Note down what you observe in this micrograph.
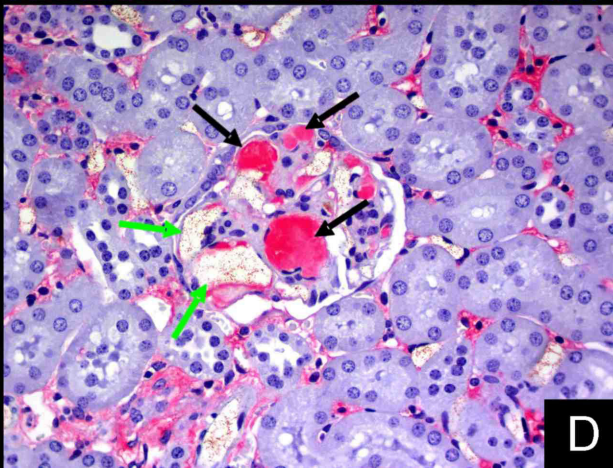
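A glomerulus in the centre is distorted by widened capillary spaces containing pale granular material, and several of its capillaries are filled by rounded, homogeneous bright red masses. Surrounding tubules have pale lilac cytoplasm and round nuclei, and red staining with scattered brown granules lies in the spaces between them.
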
